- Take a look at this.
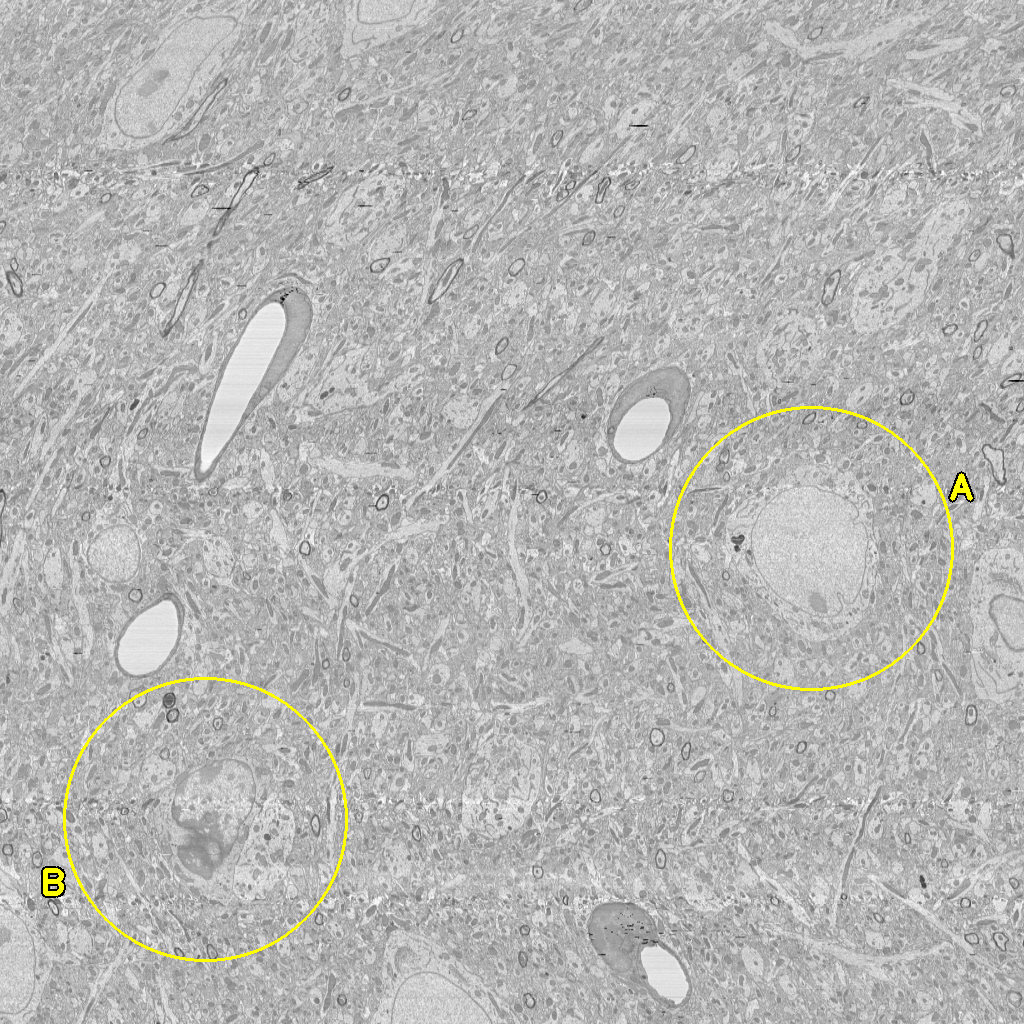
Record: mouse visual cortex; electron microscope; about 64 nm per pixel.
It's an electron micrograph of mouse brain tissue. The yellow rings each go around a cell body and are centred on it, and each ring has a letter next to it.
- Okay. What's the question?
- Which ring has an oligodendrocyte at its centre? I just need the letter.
B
